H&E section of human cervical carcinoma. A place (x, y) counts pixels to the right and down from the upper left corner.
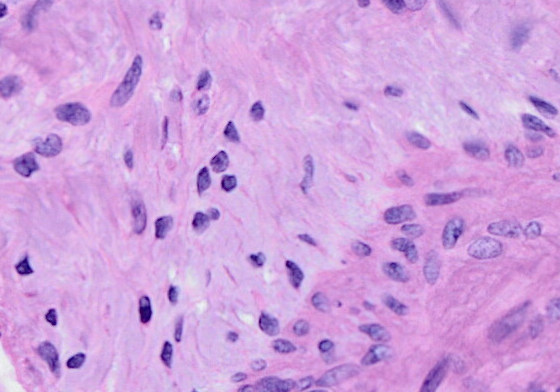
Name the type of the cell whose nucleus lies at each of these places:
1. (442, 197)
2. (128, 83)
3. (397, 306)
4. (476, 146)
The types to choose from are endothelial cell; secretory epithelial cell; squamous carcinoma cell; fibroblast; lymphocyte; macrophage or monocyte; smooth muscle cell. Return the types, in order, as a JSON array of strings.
["smooth muscle cell", "fibroblast", "smooth muscle cell", "smooth muscle cell"]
